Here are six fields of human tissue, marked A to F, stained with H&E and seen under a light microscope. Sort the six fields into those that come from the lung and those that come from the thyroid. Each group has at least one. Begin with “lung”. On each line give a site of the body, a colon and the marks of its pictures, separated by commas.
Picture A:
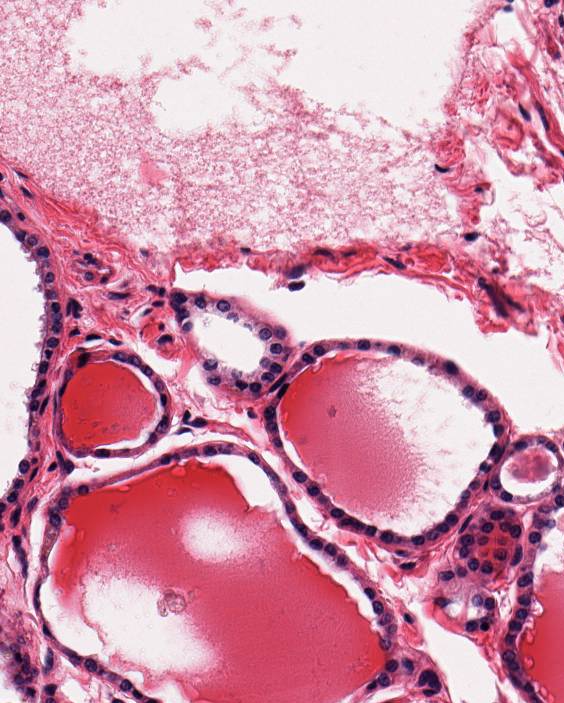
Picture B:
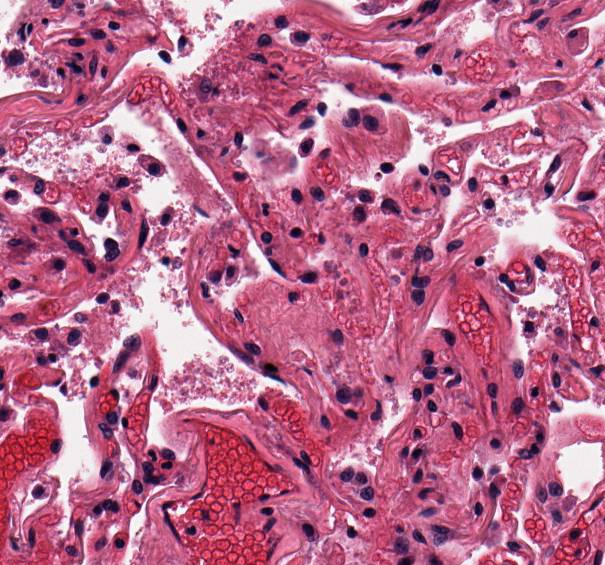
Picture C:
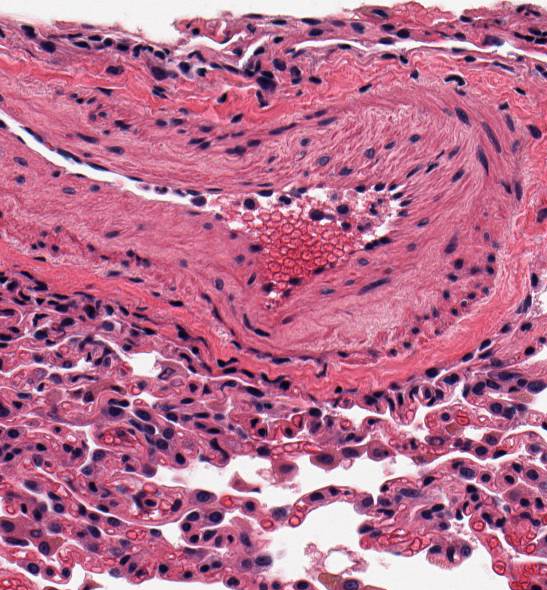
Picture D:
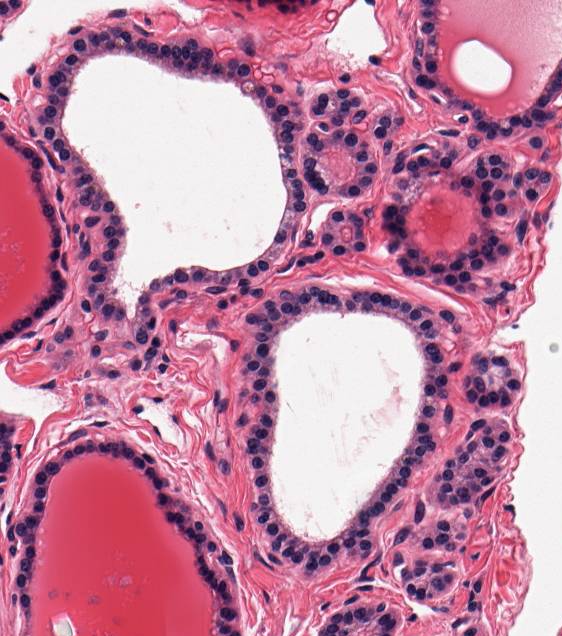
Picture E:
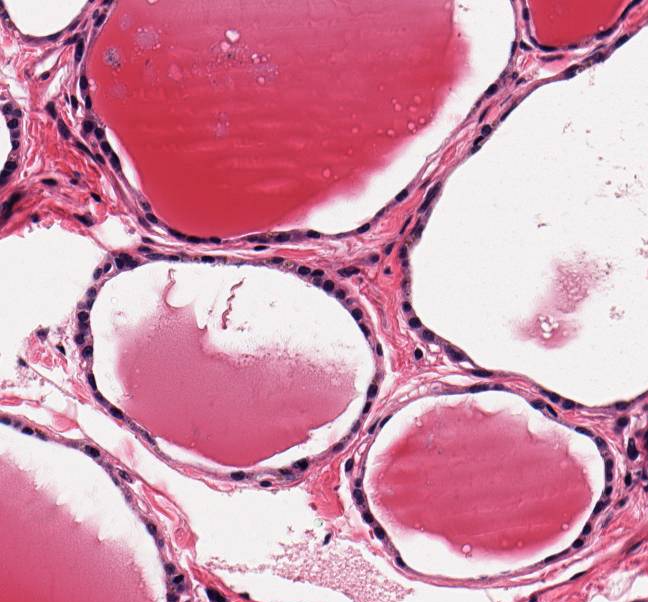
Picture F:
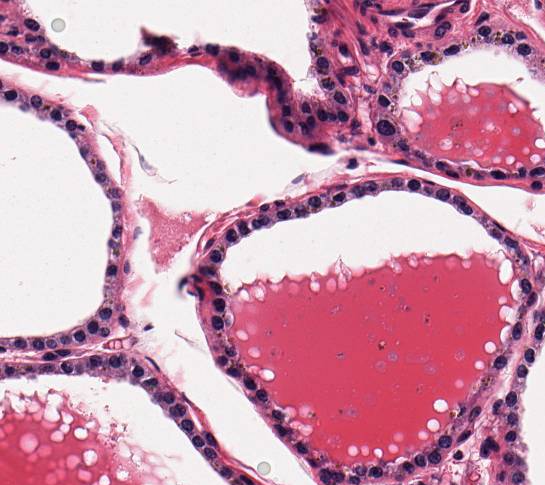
lung: B, C
thyroid: A, D, E, F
